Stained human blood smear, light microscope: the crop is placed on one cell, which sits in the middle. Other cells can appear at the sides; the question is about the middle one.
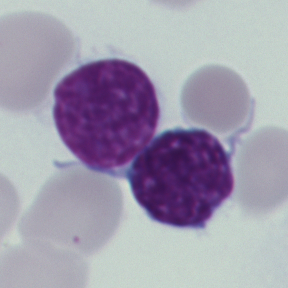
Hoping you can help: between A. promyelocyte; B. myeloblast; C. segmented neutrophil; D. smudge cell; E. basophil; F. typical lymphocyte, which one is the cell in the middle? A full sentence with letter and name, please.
For this crop, option B is right, the centered cell being a myeloblast.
